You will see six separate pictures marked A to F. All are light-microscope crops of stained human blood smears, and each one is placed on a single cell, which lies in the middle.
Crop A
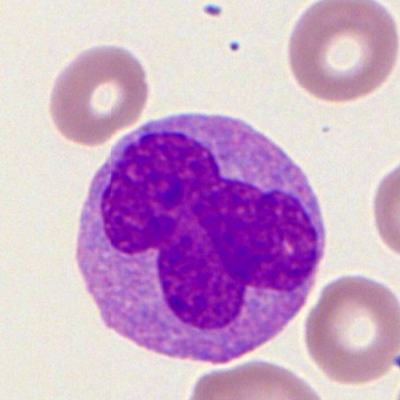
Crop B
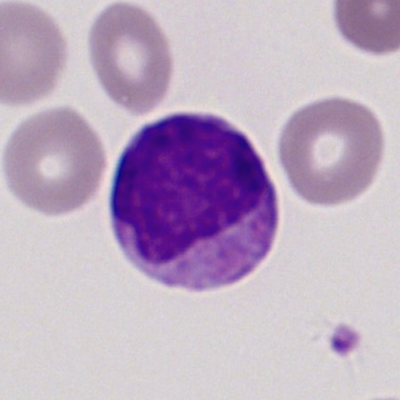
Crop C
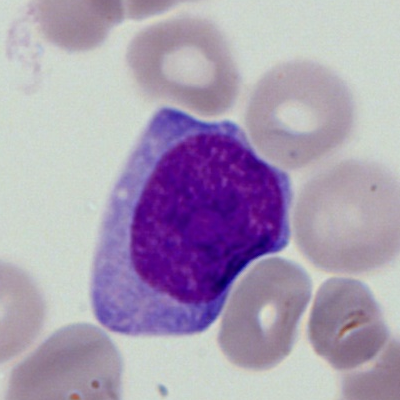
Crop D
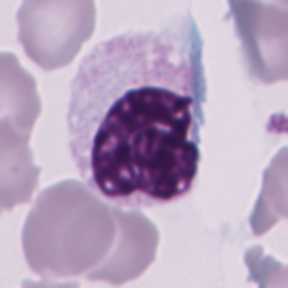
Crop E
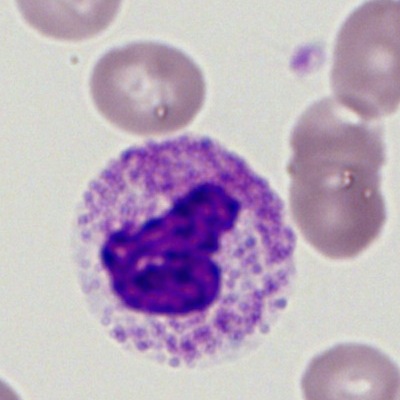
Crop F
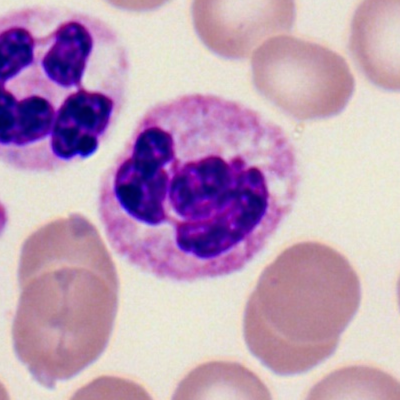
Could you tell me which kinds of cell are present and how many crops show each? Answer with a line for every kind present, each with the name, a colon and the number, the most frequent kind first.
segmented neutrophil: 3
blast: 2
monocyte: 1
